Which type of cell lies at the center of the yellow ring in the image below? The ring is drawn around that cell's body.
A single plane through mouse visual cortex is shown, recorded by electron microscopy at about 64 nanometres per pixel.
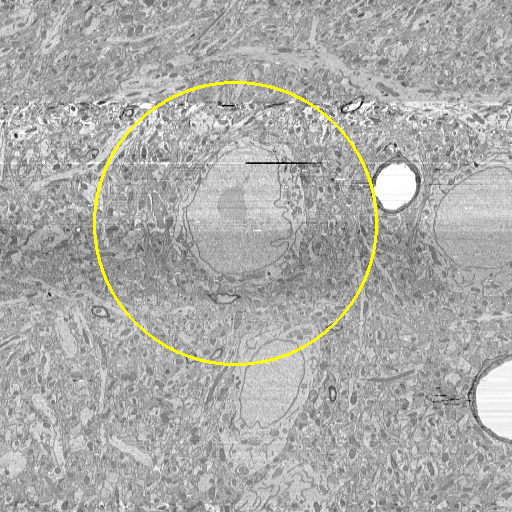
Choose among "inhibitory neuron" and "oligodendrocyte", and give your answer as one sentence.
The cell body at the center belongs to an inhibitory neuron.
